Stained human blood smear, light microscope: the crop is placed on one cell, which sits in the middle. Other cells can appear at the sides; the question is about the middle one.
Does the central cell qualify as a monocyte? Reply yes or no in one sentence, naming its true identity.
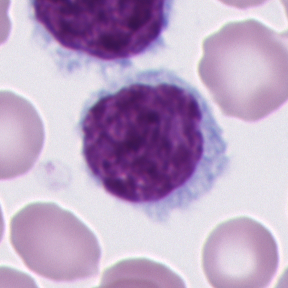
No, the cell in the middle of the crop counts as a hairy cell and not as a monocyte.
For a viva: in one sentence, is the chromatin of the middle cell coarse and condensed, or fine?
This nucleus has coarsely clumped chromatin.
